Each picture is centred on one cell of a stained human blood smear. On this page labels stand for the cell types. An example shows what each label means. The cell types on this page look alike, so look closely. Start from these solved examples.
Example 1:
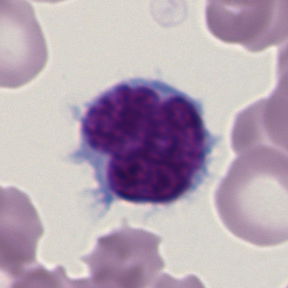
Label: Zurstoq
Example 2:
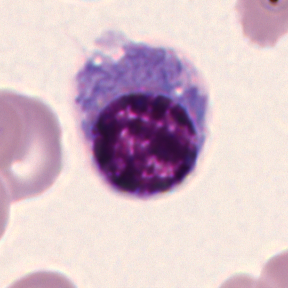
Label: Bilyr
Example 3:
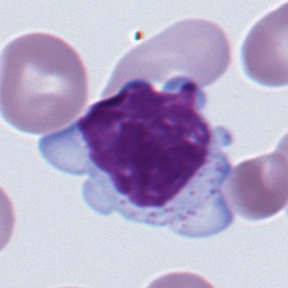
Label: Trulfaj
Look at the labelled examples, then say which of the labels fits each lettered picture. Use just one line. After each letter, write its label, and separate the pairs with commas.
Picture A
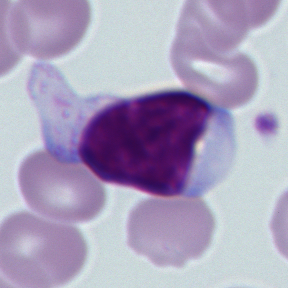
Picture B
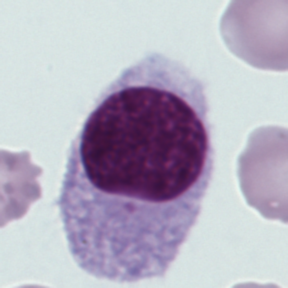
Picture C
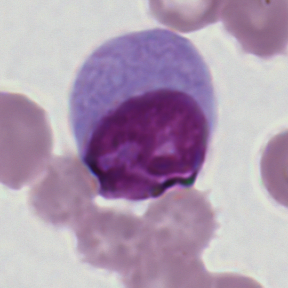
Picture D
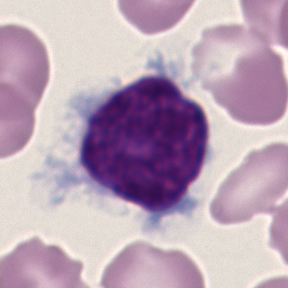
A Trulfaj, B Zurstoq, C Bilyr, D Zurstoq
